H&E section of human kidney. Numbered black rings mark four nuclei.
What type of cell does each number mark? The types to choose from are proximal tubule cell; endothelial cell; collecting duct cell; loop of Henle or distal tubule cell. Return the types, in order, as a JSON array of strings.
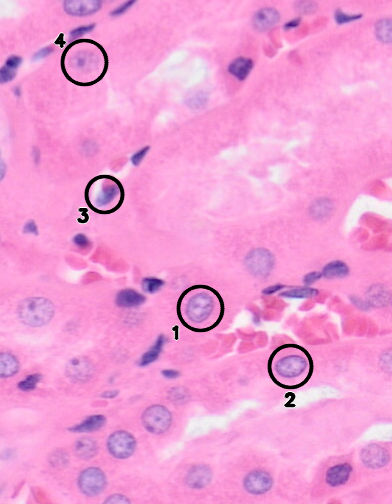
["proximal tubule cell", "proximal tubule cell", "endothelial cell", "proximal tubule cell"]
